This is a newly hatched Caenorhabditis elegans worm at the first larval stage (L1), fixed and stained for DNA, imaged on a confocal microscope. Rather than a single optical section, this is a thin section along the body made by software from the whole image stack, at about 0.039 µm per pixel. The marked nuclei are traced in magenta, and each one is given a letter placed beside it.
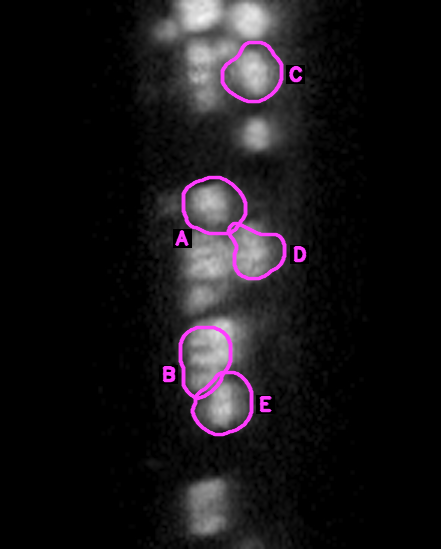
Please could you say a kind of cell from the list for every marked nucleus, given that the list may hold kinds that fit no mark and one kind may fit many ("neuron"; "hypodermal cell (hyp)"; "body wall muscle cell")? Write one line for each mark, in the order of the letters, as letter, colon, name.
A: neuron
B: hypodermal cell (hyp)
C: neuron
D: body wall muscle cell
E: neuron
